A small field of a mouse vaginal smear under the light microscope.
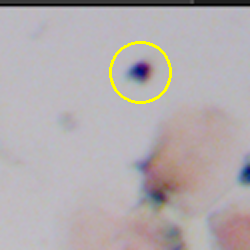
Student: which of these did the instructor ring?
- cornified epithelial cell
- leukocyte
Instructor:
The cell I ringed is a leukocyte.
